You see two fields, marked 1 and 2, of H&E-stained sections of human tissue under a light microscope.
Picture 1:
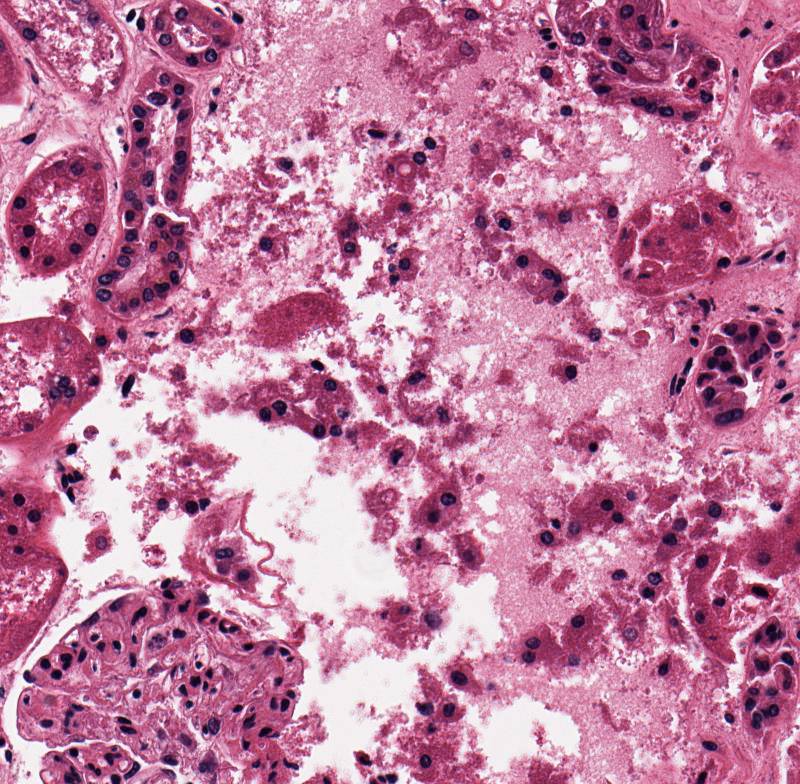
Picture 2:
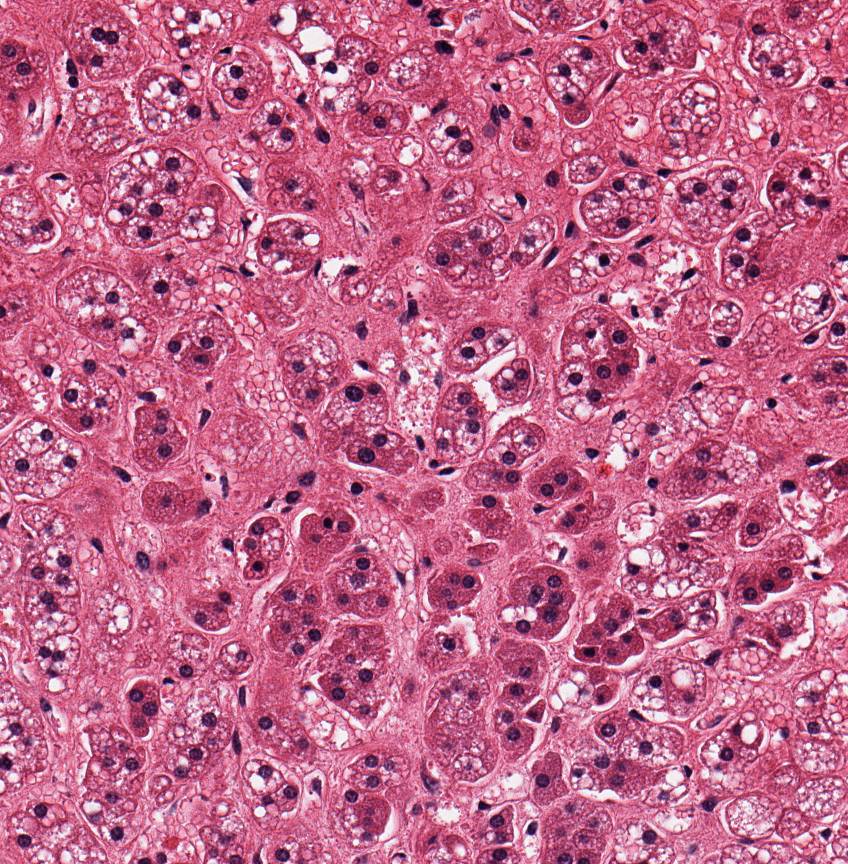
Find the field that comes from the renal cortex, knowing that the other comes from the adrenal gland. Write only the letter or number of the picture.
1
